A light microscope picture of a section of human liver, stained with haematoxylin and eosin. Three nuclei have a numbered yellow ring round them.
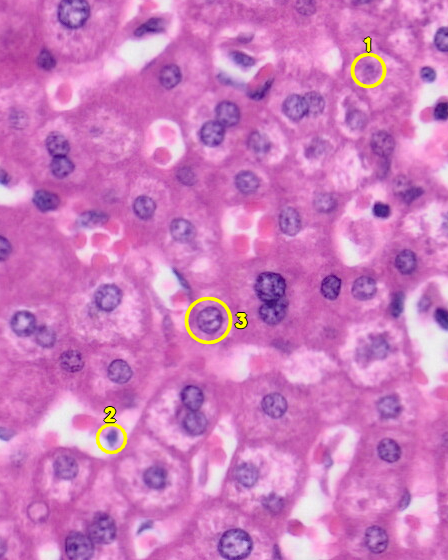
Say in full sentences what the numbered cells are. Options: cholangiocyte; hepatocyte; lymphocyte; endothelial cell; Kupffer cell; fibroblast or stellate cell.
Cells 1 and 3 are hepatocytes. Cell 2 is a lymphocyte.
